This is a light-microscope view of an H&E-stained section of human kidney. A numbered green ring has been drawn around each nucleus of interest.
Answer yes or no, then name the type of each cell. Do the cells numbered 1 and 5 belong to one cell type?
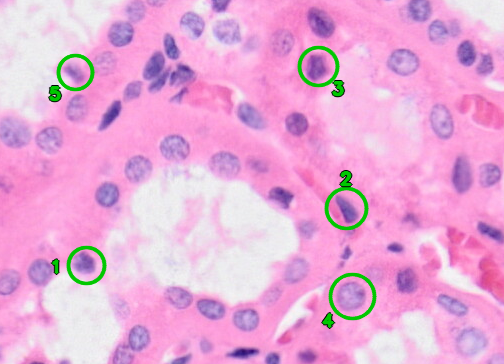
Yes, both are loop of Henle or distal tubule cells.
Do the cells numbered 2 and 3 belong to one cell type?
No, cell 2 is an endothelial cell and cell 3 is a proximal tubule cell.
